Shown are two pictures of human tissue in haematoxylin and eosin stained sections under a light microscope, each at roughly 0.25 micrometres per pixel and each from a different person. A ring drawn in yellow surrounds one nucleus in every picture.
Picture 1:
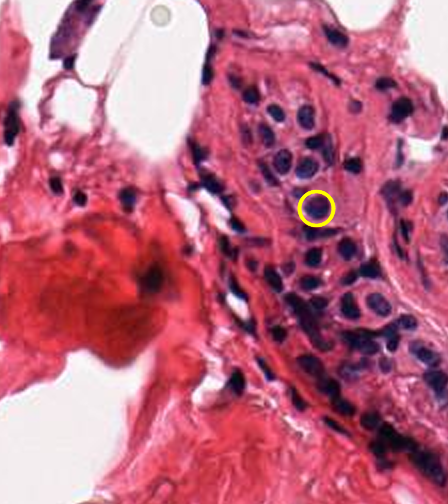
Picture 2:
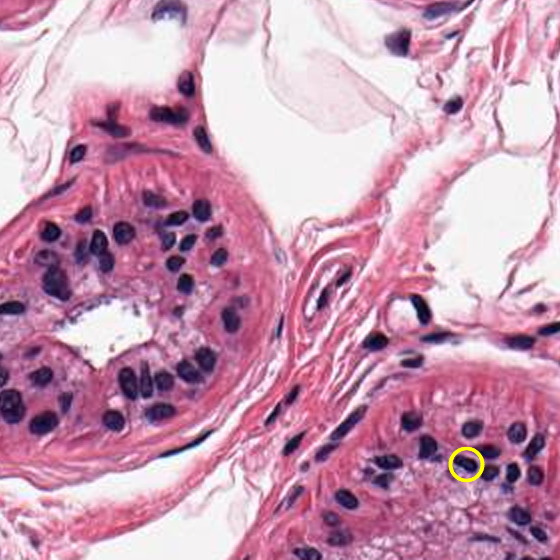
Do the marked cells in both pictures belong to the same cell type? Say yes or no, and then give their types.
Yes, both are sweat gland cells.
